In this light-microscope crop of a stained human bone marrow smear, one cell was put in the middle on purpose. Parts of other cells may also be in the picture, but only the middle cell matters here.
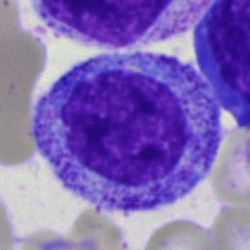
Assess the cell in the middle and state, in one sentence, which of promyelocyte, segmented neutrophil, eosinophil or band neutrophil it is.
In this crop, the cell at the very middle is a promyelocyte.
